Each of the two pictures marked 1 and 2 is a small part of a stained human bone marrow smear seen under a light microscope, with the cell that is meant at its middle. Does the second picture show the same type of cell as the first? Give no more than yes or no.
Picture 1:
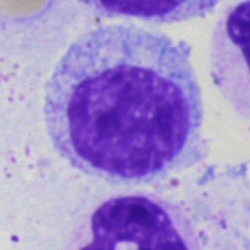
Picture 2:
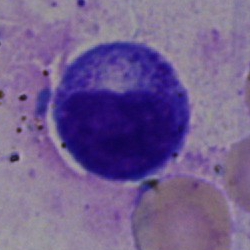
yes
